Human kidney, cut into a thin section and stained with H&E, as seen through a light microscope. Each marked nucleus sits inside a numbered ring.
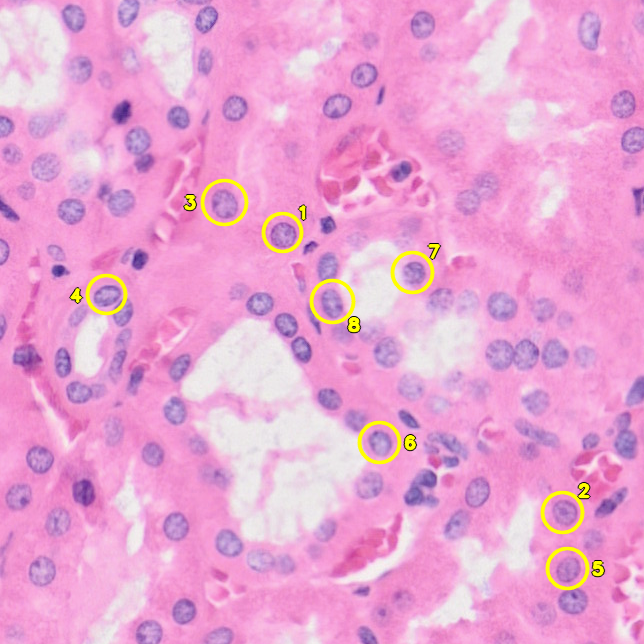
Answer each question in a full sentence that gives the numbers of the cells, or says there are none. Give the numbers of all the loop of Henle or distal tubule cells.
As for the cells numbered 6, 7 and 8, they are loop of Henle or distal tubule cells.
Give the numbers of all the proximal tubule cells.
The cells bearing the numbers 1, 2, 3 and 5 are proximal tubule cells.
